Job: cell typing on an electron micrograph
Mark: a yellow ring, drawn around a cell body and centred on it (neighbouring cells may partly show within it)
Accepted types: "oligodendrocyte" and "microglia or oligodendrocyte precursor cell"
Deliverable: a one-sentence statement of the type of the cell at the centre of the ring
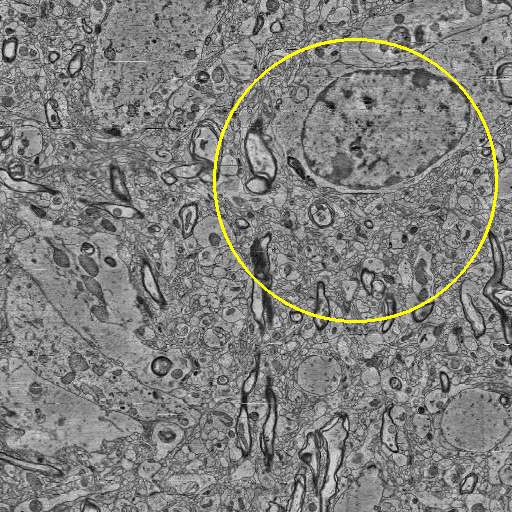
The centred cell body is that of a microglial cell or oligodendrocyte precursor cell.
